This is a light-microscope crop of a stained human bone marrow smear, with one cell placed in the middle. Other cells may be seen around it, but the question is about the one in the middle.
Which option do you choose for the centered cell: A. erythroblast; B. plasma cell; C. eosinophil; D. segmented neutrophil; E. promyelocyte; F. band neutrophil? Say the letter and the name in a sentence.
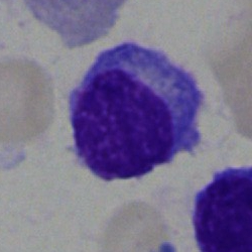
The cell in the middle is a plasma cell, and that makes option B correct.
